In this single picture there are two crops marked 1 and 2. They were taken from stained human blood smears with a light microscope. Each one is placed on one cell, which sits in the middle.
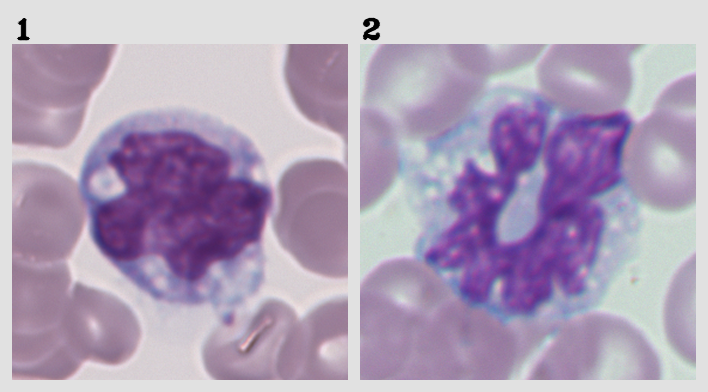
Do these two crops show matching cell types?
yes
